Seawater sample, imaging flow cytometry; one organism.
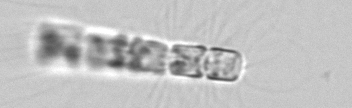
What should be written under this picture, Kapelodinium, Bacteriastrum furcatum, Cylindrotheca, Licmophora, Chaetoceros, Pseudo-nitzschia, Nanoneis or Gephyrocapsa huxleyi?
Bacteriastrum furcatum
